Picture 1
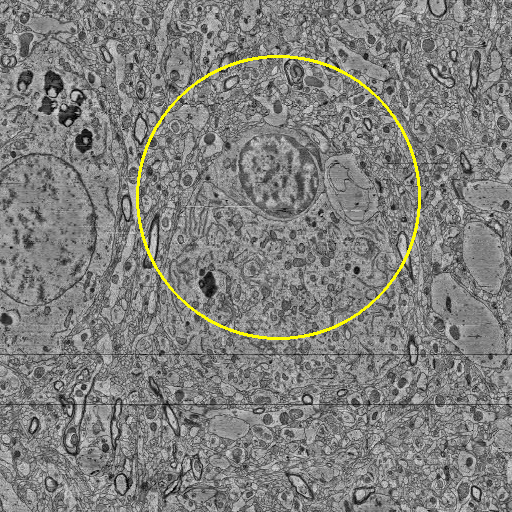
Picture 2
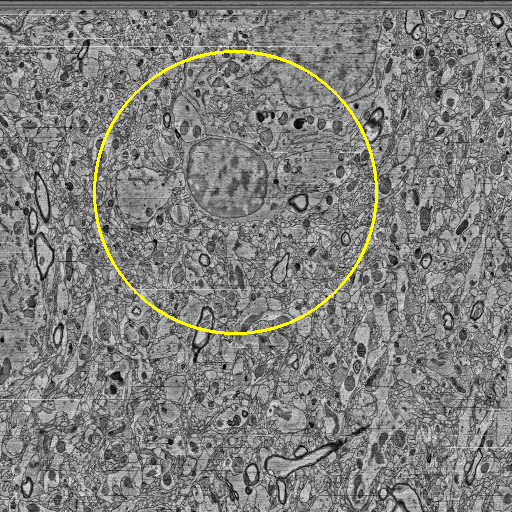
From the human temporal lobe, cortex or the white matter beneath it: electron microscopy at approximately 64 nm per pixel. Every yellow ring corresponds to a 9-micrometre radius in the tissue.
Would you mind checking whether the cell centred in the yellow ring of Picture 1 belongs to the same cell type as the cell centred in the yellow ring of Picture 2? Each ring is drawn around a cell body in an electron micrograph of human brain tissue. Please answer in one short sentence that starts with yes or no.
Yes, both cells are of the same type.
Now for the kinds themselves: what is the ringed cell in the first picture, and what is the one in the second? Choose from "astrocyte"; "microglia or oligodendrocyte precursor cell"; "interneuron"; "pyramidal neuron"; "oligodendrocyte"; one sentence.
The second cell is an oligodendrocyte, just as the first is.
